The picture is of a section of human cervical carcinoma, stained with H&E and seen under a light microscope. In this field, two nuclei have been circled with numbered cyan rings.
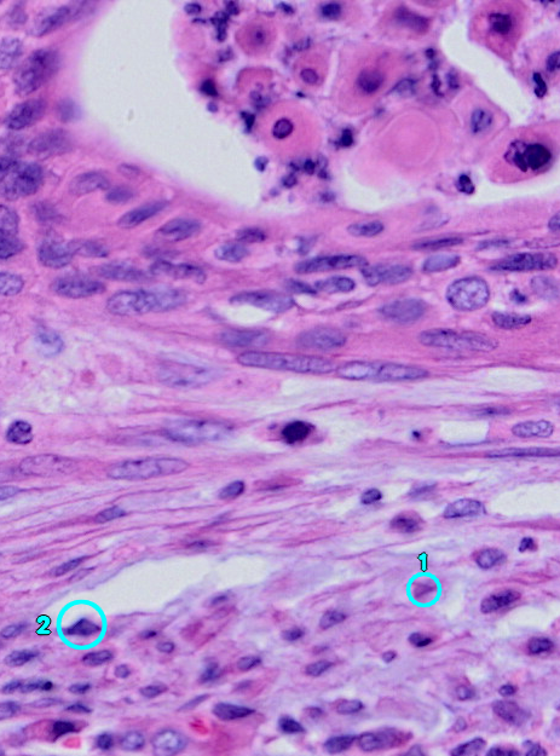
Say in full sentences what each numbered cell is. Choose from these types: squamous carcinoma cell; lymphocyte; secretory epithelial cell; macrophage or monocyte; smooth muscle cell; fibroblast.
Cell 1 is a fibroblast and cell 2 is a lymphocyte.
